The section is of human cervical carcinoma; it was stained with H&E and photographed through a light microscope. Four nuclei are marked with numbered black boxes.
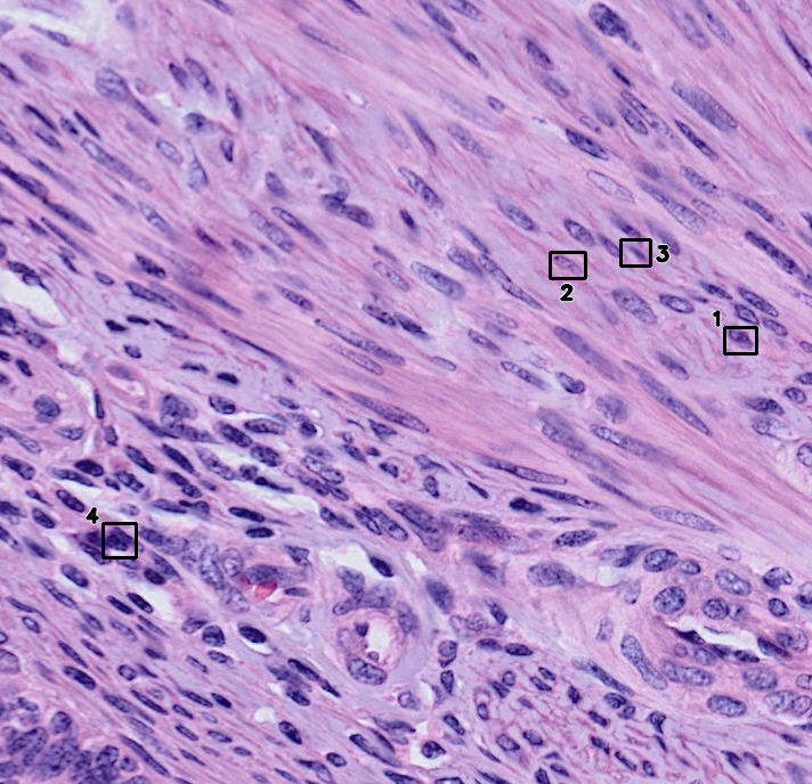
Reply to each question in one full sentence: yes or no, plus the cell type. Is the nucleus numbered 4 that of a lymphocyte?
Yes, within this section, cell number 4 is a lymphocyte.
